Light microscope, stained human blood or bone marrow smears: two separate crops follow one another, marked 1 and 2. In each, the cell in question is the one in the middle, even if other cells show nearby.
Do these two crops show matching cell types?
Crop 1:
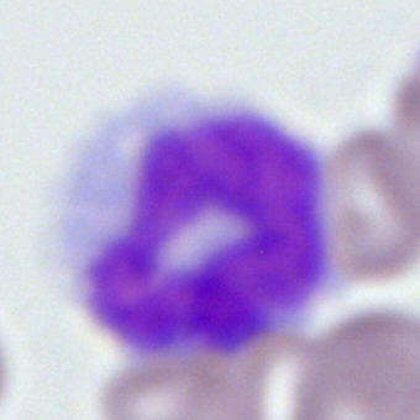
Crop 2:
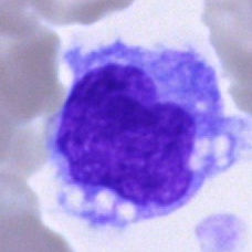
yes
